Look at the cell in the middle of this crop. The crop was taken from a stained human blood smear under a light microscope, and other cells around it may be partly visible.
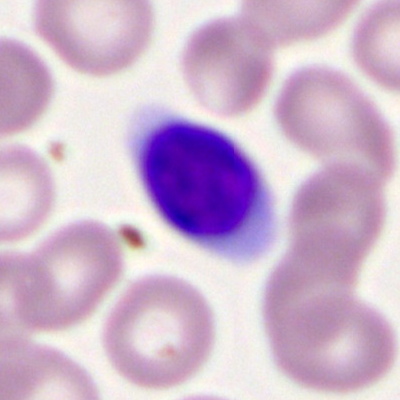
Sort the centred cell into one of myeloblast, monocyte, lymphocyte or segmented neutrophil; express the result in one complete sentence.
In the central position of this crop, the cell is a lymphocyte.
